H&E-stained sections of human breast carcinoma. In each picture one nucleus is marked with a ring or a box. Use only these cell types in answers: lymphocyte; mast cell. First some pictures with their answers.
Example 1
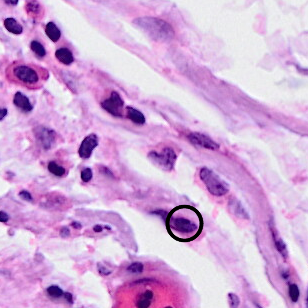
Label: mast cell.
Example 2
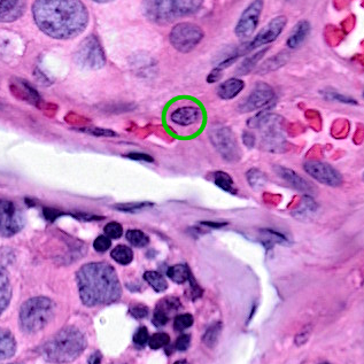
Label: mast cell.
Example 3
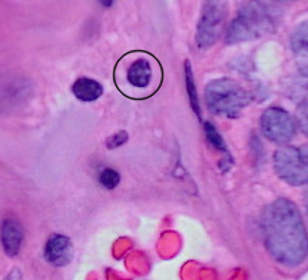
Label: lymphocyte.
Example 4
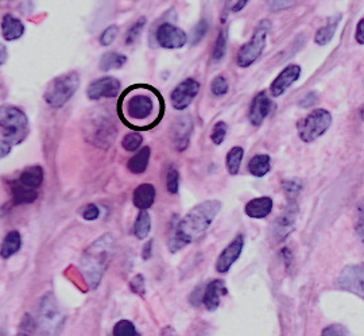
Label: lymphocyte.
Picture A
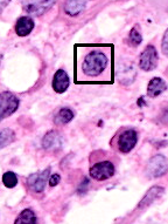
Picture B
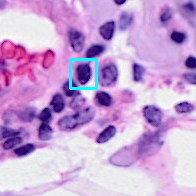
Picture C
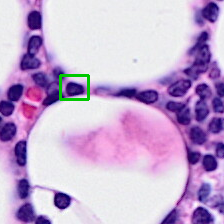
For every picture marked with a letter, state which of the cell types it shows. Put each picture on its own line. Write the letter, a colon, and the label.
A: mast cell.
B: lymphocyte.
C: lymphocyte.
